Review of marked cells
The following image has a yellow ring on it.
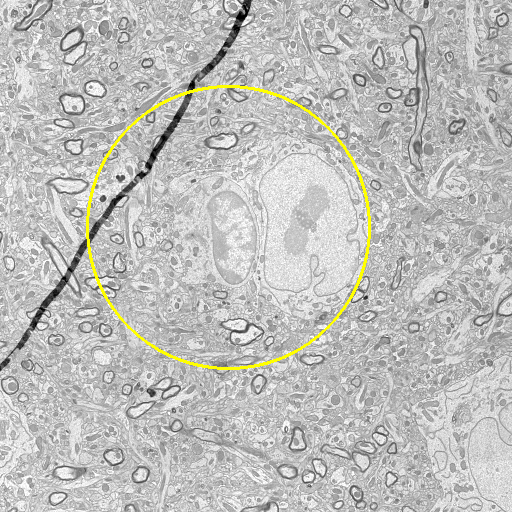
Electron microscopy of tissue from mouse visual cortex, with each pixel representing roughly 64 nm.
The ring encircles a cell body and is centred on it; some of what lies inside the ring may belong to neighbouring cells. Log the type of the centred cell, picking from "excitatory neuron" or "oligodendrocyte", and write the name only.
oligodendrocyte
